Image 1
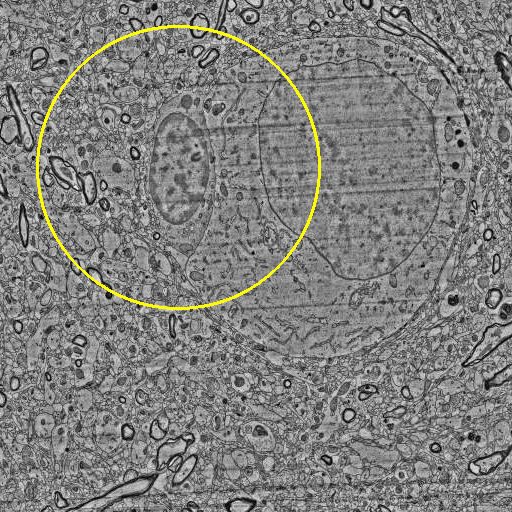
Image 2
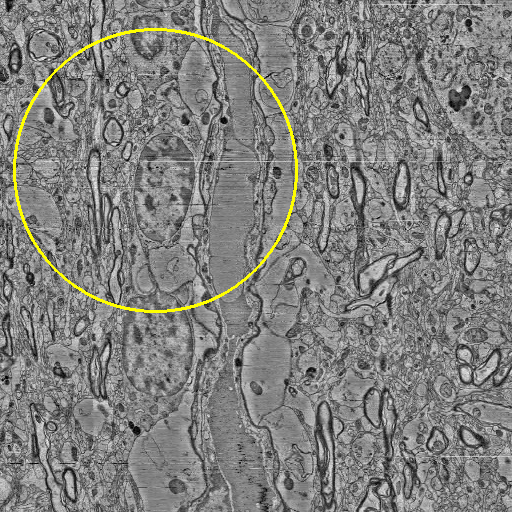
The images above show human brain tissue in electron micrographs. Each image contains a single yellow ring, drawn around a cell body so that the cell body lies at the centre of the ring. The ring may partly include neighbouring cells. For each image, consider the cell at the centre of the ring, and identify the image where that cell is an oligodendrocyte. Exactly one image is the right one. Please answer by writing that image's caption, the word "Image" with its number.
Image 1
